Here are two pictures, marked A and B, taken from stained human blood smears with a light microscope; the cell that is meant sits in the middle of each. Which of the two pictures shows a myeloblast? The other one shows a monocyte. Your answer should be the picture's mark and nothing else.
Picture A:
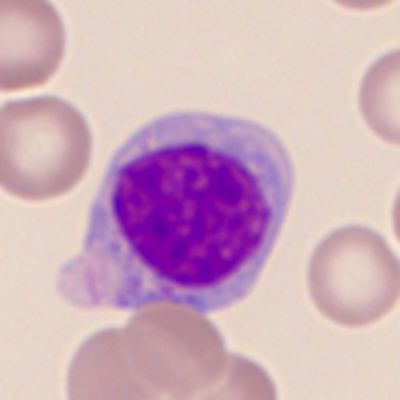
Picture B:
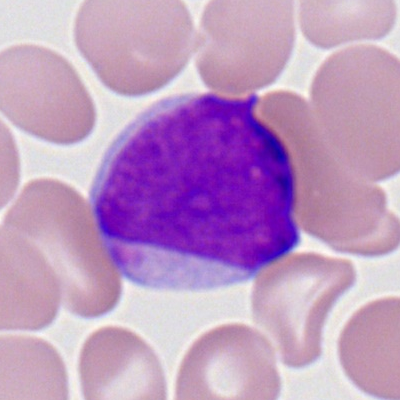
B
